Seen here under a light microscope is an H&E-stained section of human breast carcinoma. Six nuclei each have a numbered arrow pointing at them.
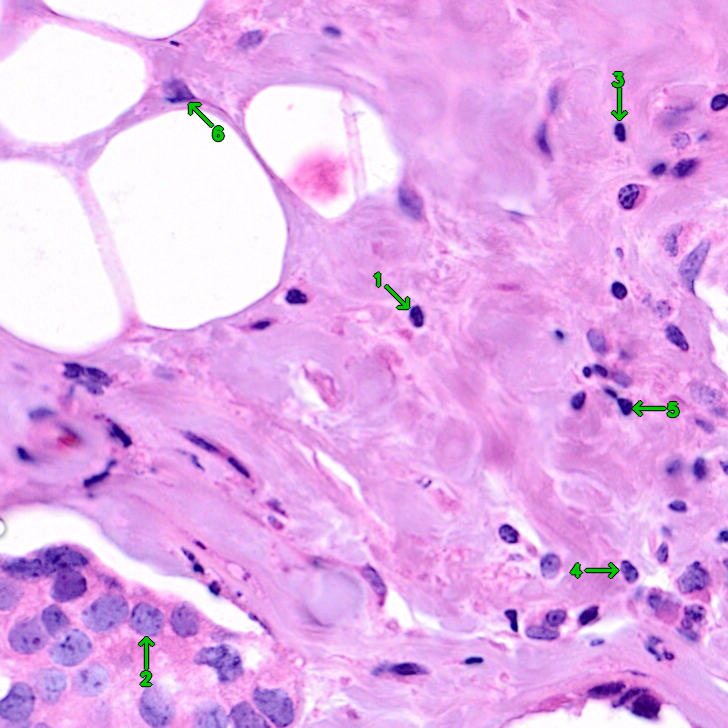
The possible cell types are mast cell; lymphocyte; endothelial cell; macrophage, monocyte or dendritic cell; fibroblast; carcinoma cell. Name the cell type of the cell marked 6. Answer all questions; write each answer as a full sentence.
The cell numbered 6 represents a fibroblast.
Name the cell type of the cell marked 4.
Marked with the number 4, this cell is a lymphocyte.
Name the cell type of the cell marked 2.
The cell that is numbered 2 is a carcinoma cell.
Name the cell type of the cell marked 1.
The marked cell with the number 1 is recognised as a lymphocyte.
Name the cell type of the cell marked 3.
Here the cell numbered 3 is a lymphocyte.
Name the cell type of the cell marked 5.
The numbered cell 5 is identified here as a lymphocyte.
